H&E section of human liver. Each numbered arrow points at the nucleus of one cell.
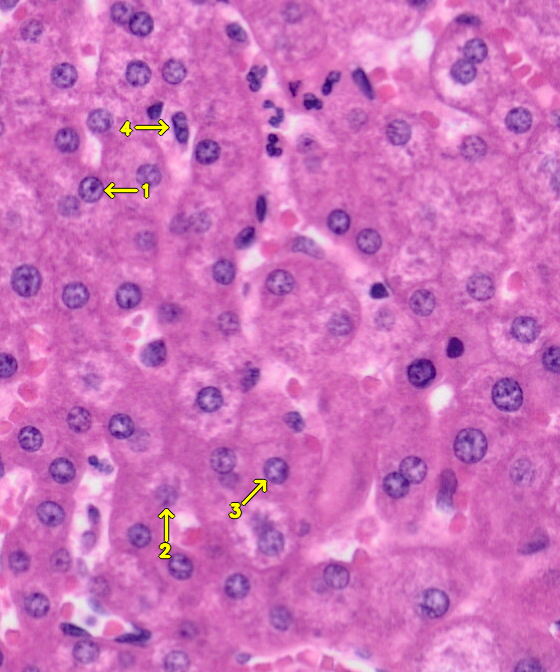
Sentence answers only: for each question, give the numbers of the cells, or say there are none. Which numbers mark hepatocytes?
Cells 1, 2 and 3 are of one type, namely hepatocytes.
